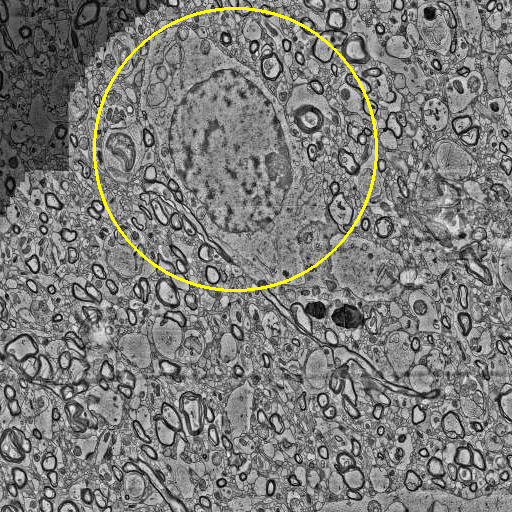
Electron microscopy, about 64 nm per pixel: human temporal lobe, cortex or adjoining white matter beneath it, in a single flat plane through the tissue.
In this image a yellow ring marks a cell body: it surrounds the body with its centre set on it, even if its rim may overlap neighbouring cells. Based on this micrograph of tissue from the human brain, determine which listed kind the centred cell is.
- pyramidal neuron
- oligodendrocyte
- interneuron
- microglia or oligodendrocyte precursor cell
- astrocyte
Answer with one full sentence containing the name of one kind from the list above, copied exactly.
It is an interneuron whose body the yellow ring encloses at its centre.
